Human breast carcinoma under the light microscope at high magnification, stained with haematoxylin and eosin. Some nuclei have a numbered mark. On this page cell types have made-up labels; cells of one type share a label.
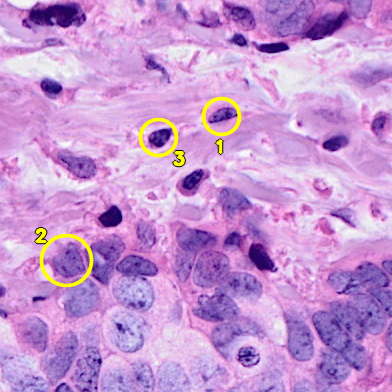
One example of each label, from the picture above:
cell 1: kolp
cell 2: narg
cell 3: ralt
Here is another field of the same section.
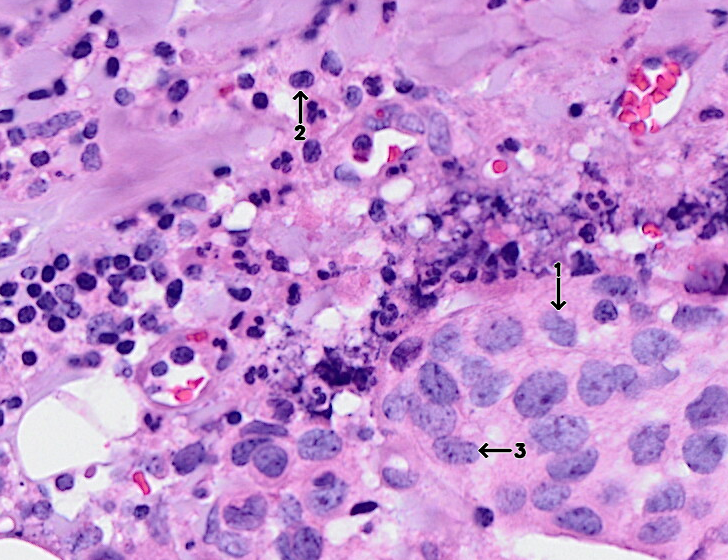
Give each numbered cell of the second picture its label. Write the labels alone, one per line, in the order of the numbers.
narg
ralt
narg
